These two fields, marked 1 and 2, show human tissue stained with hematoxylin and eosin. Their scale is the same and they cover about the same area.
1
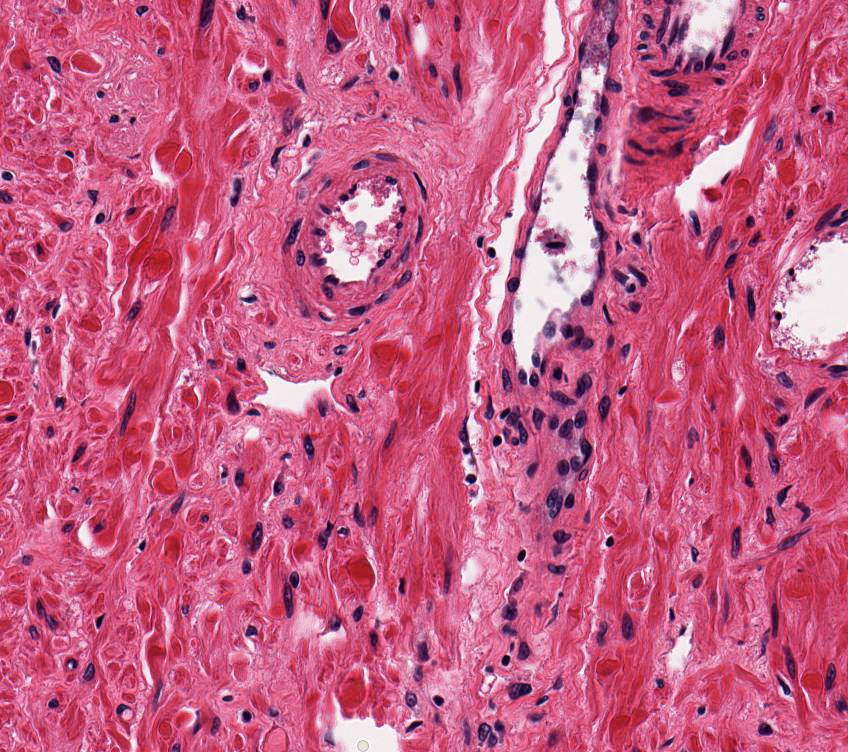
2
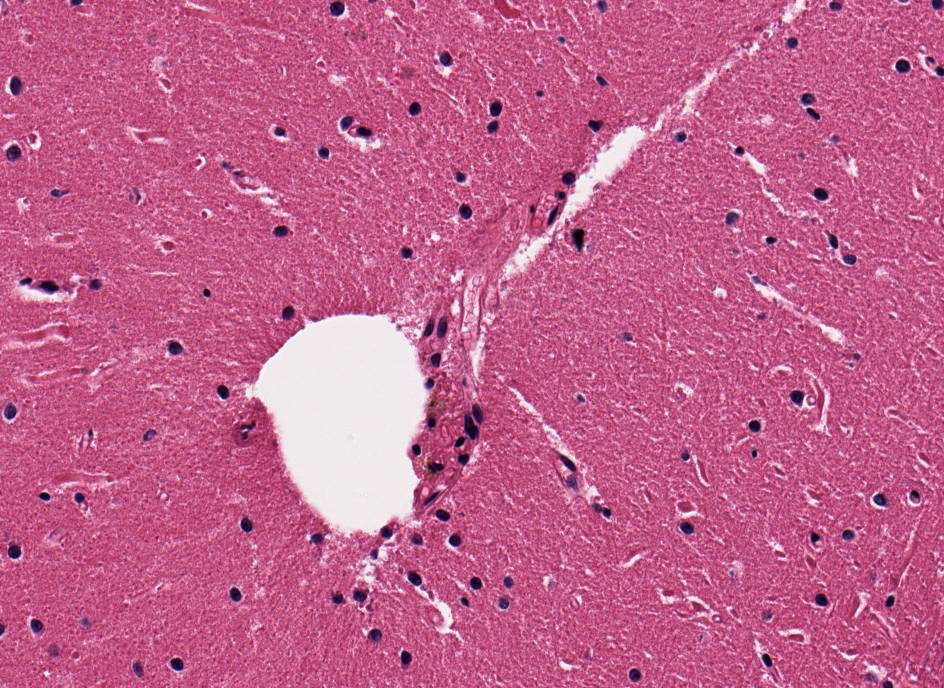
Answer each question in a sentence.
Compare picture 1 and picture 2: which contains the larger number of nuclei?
More nuclei lie in picture 1 than in picture 2.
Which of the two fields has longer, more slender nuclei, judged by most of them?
It is picture 1 whose nuclei are the more elongated.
